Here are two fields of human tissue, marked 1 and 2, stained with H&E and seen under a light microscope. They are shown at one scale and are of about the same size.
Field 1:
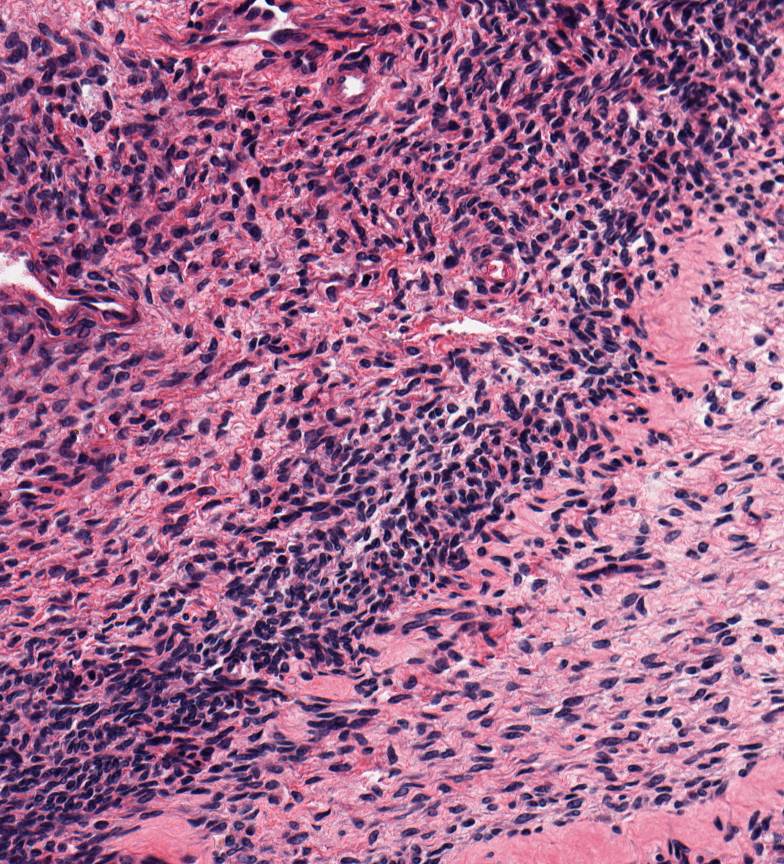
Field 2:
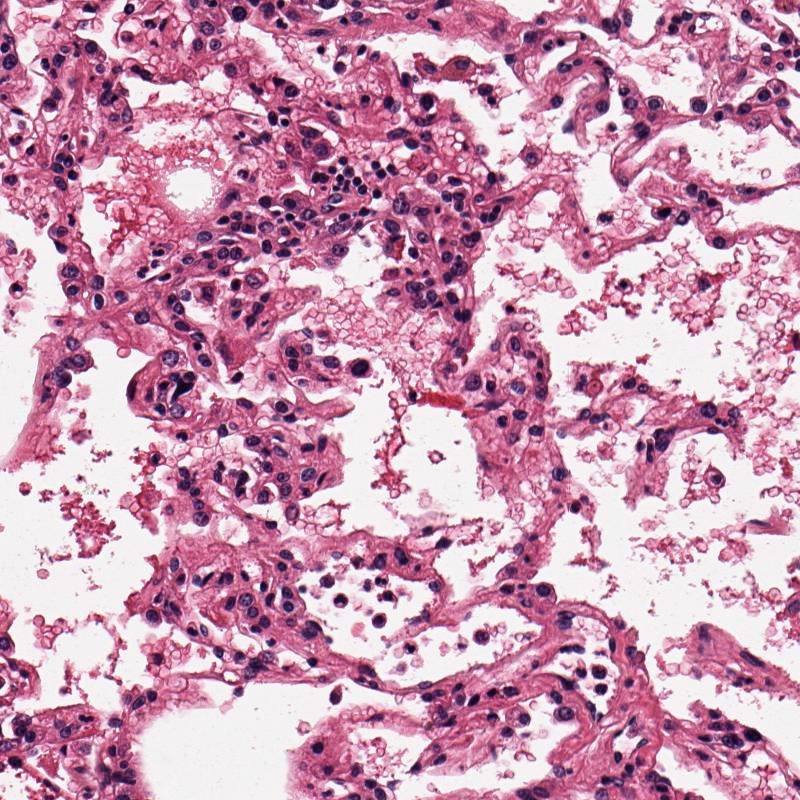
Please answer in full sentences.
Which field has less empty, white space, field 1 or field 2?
It is field 1 that stained tissue fills more completely.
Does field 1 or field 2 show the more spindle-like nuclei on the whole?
Longer, more slender nuclei lie in field 1.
